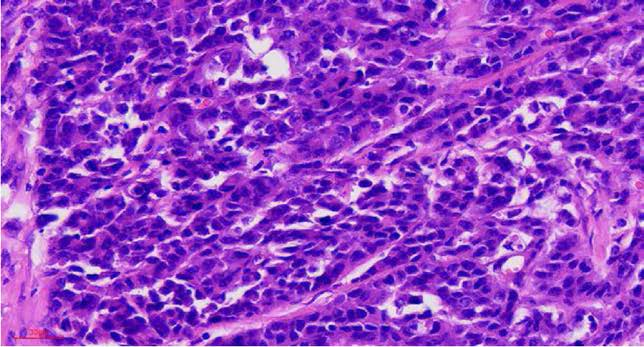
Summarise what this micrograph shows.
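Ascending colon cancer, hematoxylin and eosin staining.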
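Poorly differentiated adenocarcinoma cells are seen at high magnification, packed closely in sheets and cords separated by thin strands of pink fibrous stroma. Gland lumens are almost absent; only a few small clear spaces interrupt the sheets. The nuclei are large, oval to irregular and deeply stained purple-blue, crowding out a scant, faintly pink cytoplasm, so that the nuclear to cytoplasmic ratio is high. Nuclear size and shape vary from cell to cell, and cell borders are indistinct.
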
